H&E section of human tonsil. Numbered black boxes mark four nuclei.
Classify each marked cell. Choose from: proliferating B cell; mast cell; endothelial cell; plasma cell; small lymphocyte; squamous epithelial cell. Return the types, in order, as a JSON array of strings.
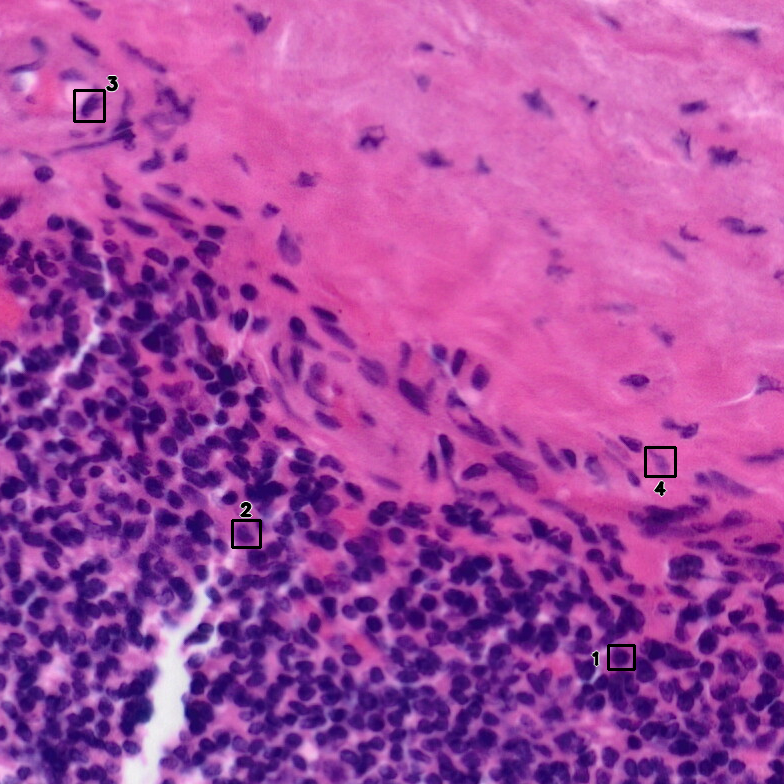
["plasma cell", "endothelial cell", "endothelial cell", "endothelial cell"]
